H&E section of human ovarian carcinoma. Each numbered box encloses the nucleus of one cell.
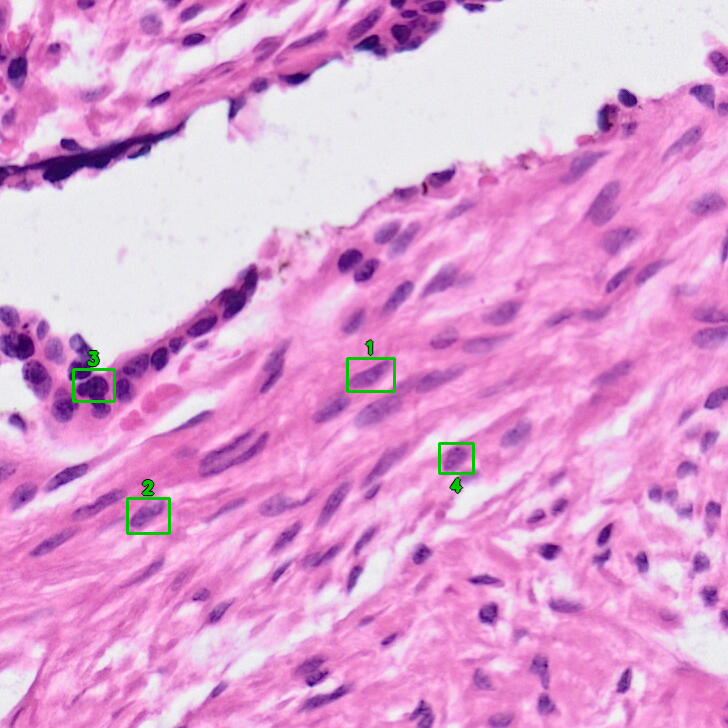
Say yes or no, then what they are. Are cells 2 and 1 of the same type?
Yes, cells 2 and 1 are, both of them, fibroblasts.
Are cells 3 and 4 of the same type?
No, cell 3 is recognized as a carcinoma cell, and cell 4 as a fibroblast.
